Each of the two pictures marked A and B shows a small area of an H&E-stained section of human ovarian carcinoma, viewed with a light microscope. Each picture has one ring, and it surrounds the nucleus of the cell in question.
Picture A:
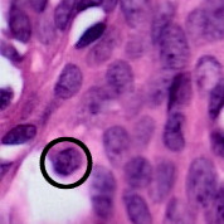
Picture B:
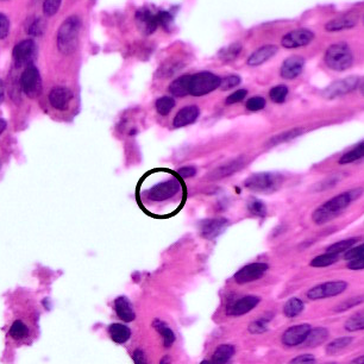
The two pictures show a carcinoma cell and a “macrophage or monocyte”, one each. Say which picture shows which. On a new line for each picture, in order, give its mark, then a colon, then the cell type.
A: macrophage or monocyte
B: carcinoma cell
